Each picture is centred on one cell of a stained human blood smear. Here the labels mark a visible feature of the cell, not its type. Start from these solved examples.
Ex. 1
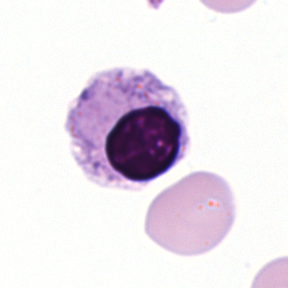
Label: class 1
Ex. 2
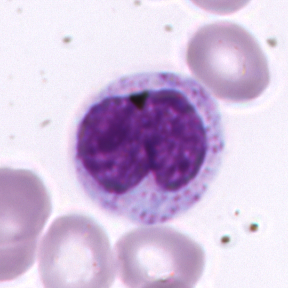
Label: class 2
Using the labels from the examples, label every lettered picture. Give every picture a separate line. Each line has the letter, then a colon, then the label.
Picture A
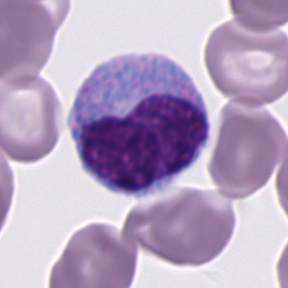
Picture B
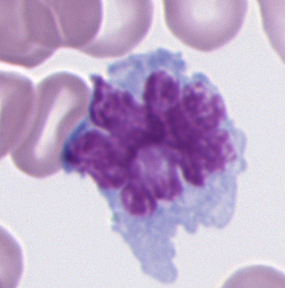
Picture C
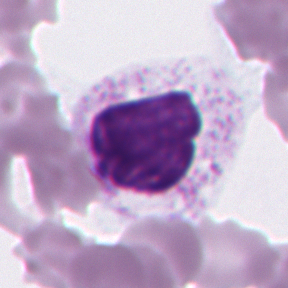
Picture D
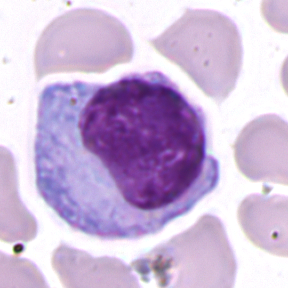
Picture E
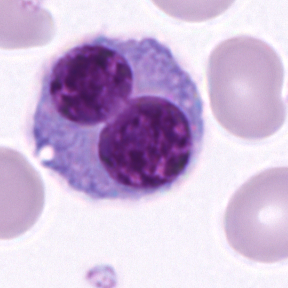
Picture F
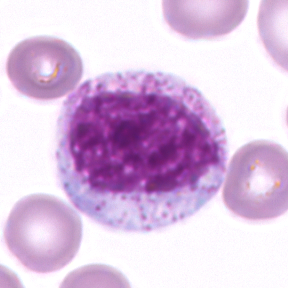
A: class 1
B: class 2
C: class 1
D: class 1
E: class 2
F: class 1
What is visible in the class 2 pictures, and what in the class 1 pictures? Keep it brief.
Seen in class 2: lobed nucleus; seen in class 1: single compact nucleus.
